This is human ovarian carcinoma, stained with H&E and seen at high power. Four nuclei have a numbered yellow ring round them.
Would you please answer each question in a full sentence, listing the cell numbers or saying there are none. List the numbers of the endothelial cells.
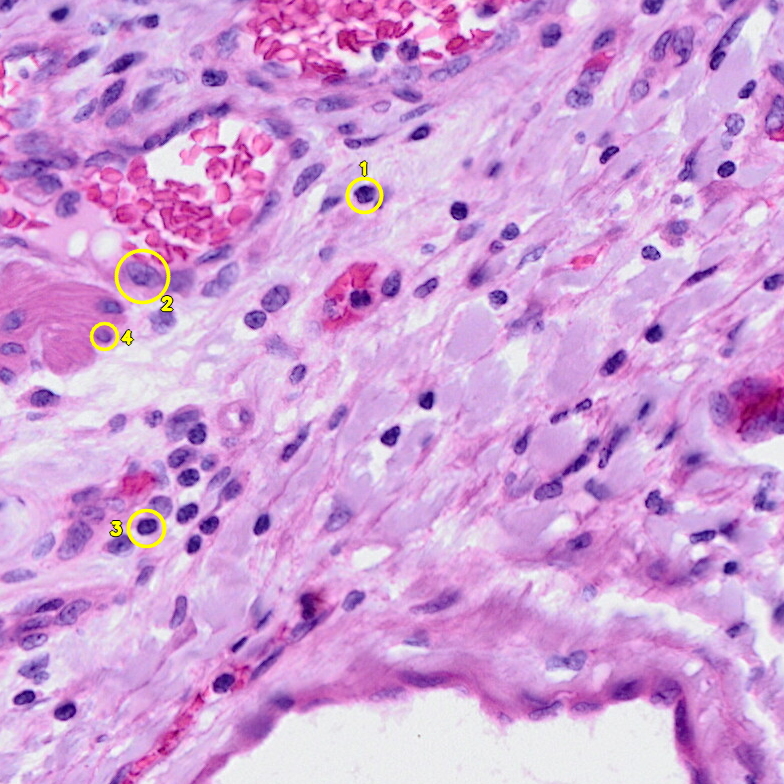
Only the cell with number 2 is an endothelial cell.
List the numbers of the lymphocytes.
The cells assigned the numbers 1 and 3 are lymphocytes.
